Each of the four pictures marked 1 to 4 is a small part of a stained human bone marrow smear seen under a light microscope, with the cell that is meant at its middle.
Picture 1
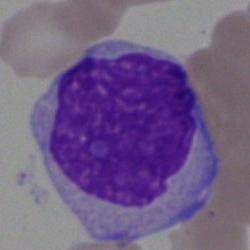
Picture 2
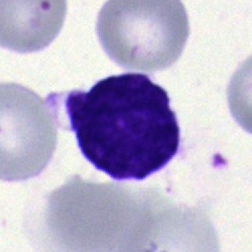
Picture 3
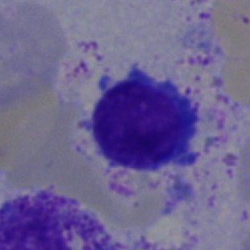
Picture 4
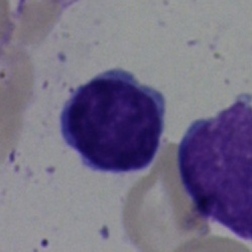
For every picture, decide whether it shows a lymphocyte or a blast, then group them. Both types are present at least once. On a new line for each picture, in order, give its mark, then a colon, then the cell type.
1: blast
2: lymphocyte
3: lymphocyte
4: lymphocyte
